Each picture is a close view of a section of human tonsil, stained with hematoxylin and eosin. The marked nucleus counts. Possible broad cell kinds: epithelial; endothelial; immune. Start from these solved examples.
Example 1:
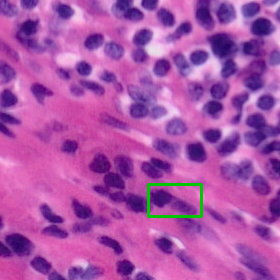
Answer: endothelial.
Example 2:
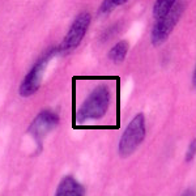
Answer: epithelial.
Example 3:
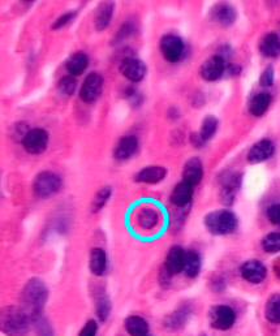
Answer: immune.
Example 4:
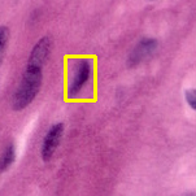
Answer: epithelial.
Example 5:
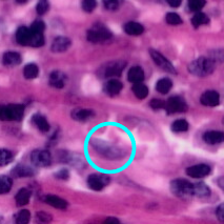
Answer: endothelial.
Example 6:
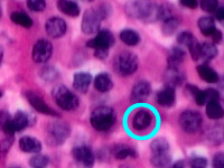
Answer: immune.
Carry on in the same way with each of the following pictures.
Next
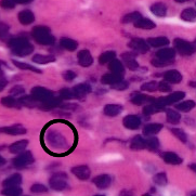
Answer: endothelial.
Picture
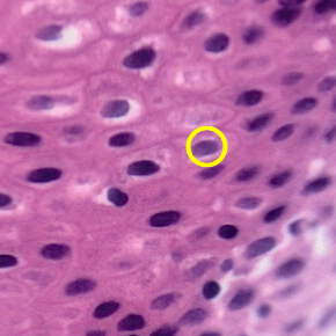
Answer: epithelial.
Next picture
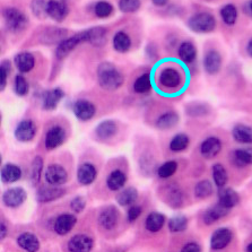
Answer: immune.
